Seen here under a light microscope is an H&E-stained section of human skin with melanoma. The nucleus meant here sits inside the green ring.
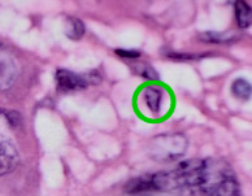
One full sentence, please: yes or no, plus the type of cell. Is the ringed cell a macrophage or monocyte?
Yes, in this field of view, the ringed cell is a macrophage or monocyte.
